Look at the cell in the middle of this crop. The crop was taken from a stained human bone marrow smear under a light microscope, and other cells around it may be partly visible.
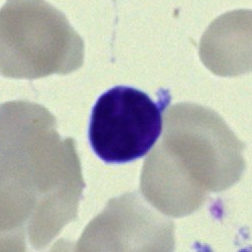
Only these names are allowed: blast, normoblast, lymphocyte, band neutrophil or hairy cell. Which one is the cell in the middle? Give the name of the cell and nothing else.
lymphocyte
